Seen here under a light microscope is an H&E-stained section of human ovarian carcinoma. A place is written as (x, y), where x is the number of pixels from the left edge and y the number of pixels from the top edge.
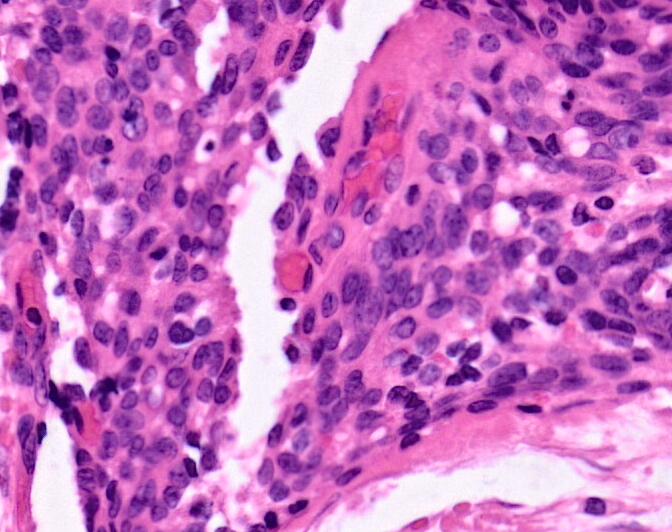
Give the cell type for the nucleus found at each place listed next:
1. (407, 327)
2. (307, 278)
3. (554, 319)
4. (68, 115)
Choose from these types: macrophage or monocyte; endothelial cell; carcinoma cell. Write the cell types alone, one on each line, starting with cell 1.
macrophage or monocyte
endothelial cell
carcinoma cell
carcinoma cell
